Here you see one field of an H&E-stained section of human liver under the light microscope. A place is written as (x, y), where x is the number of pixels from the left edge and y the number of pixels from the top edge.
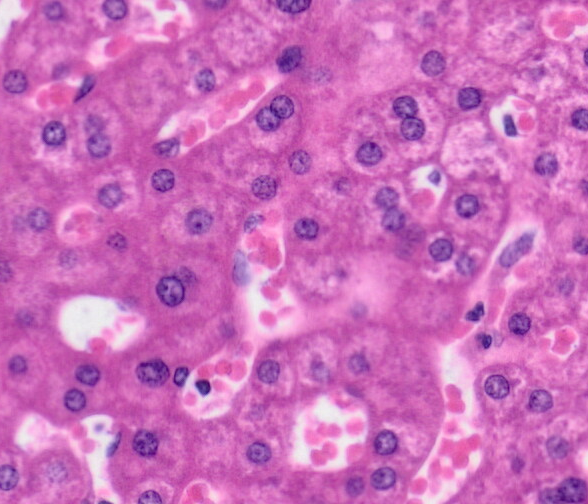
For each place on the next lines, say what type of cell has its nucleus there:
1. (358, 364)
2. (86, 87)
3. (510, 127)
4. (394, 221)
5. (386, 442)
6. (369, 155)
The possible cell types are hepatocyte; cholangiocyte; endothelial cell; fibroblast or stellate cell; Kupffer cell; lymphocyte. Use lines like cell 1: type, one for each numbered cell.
cell 1: hepatocyte
cell 2: endothelial cell
cell 3: lymphocyte
cell 4: hepatocyte
cell 5: hepatocyte
cell 6: hepatocyte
